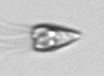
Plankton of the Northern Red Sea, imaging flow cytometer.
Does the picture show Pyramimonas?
Yes.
